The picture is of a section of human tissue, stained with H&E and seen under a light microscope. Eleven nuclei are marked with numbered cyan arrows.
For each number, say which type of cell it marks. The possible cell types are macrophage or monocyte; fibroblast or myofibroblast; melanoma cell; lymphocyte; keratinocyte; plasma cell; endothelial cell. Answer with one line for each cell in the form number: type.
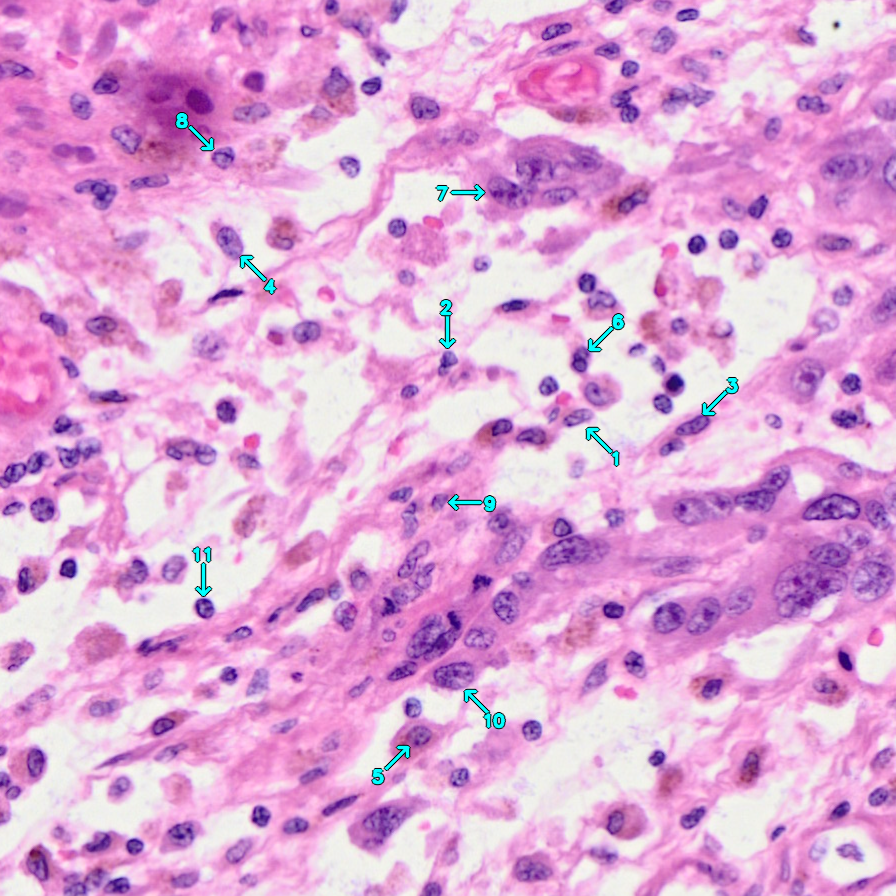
1: macrophage or monocyte
2: lymphocyte
3: macrophage or monocyte
4: macrophage or monocyte
5: macrophage or monocyte
6: macrophage or monocyte
7: melanoma cell
8: lymphocyte
9: macrophage or monocyte
10: melanoma cell
11: lymphocyte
